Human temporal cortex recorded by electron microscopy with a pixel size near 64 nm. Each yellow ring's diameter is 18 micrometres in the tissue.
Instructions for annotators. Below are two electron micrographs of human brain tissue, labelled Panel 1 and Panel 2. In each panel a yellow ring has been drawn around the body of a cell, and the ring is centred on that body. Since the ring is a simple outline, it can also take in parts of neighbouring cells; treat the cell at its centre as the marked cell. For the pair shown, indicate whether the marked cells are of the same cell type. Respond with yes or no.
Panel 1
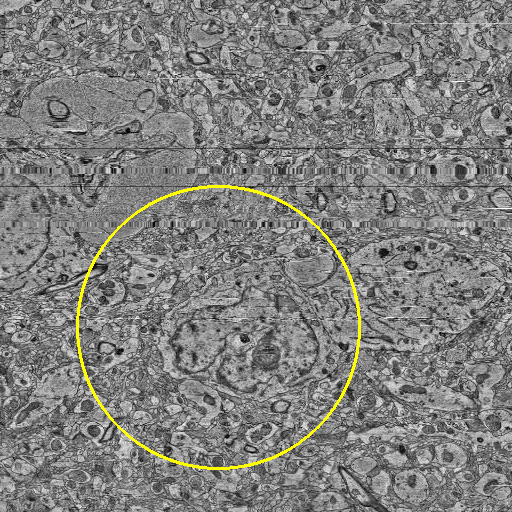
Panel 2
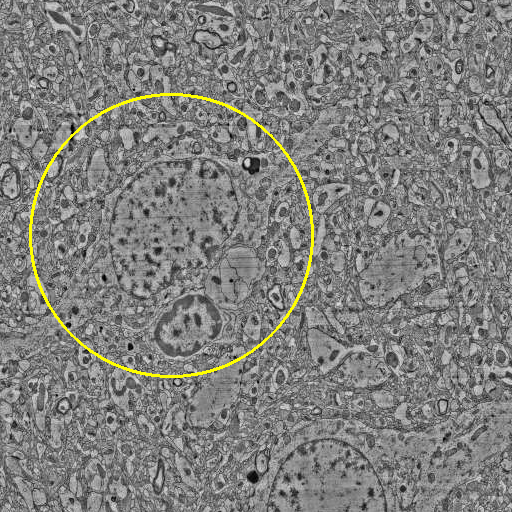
yes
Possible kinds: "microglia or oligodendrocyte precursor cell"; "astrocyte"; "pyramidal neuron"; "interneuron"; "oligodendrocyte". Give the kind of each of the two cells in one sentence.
In the first picture and in the second, the ring is centred on an interneuron.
